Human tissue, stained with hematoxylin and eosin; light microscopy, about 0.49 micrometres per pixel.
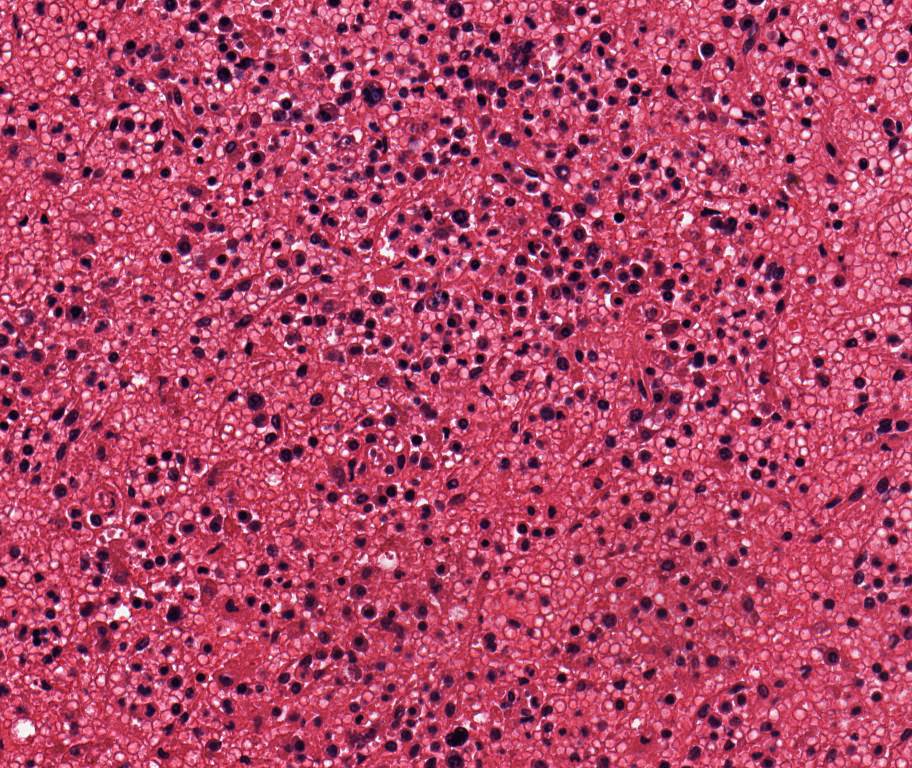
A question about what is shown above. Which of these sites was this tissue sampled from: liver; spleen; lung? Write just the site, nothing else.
spleen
